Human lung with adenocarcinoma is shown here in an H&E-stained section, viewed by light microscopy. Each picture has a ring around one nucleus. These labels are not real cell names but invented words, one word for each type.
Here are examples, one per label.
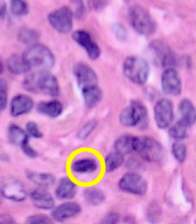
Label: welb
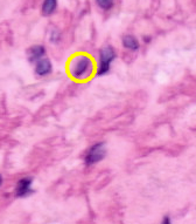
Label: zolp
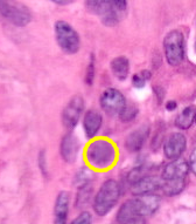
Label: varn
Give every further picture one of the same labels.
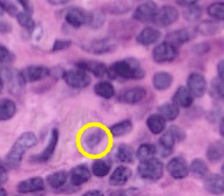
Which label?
welb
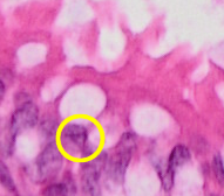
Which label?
varn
